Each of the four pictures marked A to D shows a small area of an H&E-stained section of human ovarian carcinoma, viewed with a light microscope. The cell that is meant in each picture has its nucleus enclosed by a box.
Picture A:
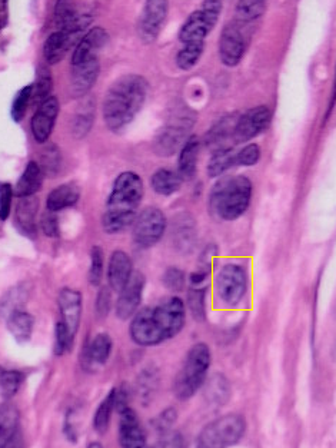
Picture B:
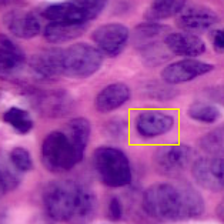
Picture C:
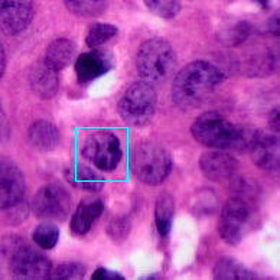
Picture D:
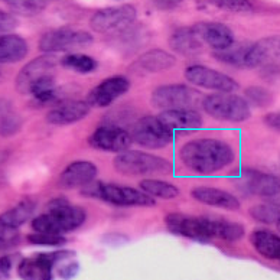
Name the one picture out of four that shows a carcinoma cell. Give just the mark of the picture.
D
